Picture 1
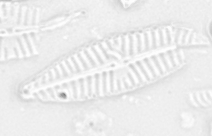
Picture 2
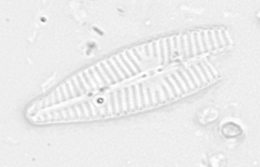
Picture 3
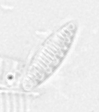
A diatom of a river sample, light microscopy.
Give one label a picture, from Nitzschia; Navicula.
(1) Navicula
(2) Navicula
(3) Nitzschia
